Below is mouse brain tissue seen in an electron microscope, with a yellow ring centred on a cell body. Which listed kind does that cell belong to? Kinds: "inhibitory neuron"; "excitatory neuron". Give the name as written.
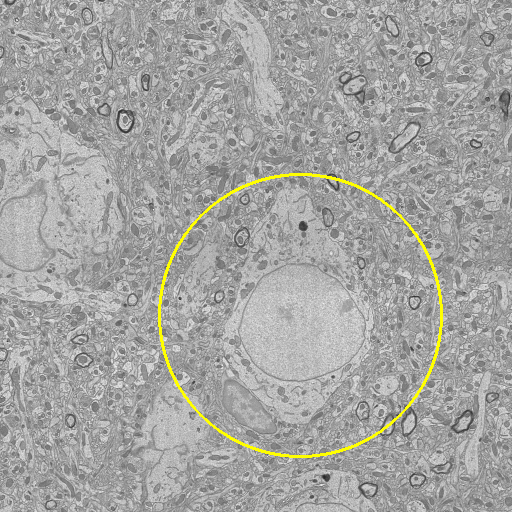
excitatory neuron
